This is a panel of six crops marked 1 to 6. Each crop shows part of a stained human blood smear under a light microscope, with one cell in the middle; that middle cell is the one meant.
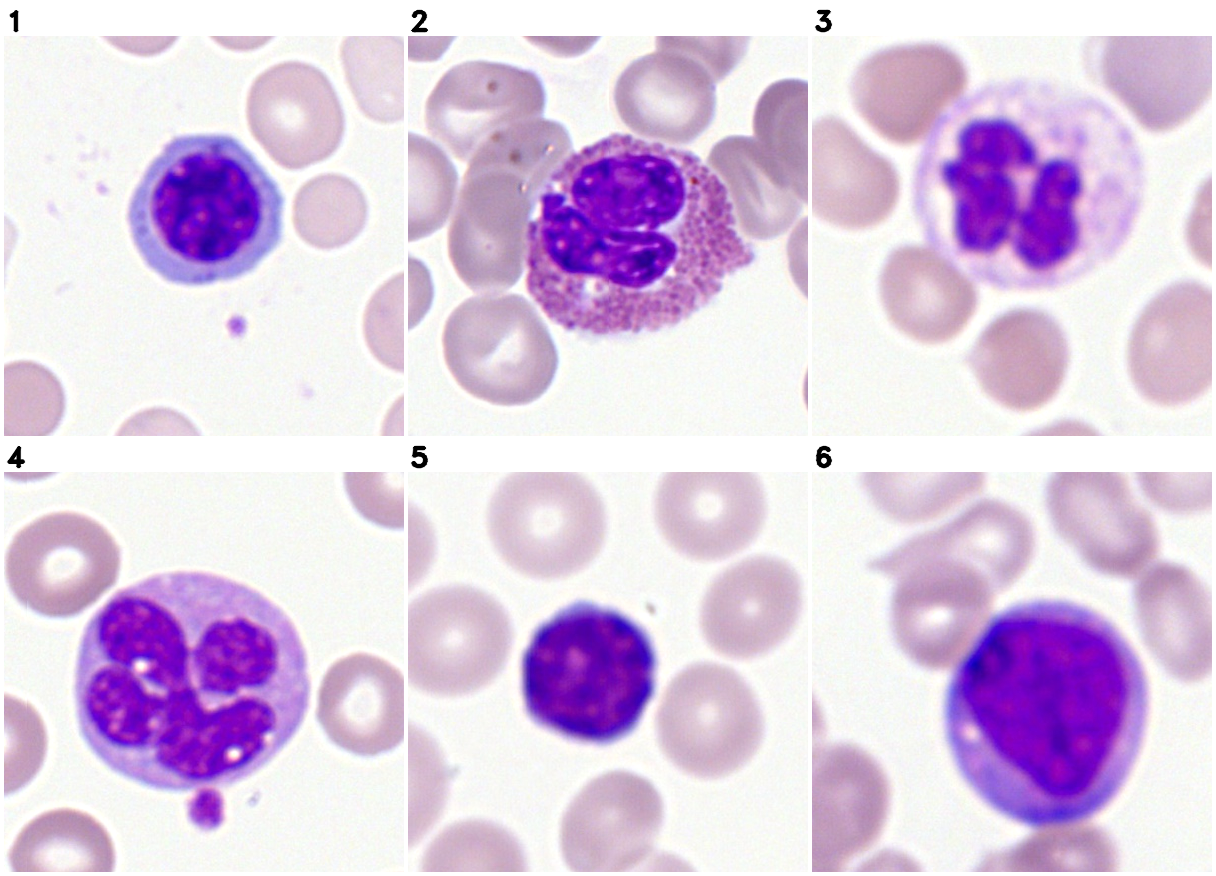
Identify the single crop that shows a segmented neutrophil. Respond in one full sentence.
The one showing a segmented neutrophil is the crop labelled 3.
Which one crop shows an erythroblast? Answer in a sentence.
Look at crop 1; that is the one with an erythroblast in its center.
